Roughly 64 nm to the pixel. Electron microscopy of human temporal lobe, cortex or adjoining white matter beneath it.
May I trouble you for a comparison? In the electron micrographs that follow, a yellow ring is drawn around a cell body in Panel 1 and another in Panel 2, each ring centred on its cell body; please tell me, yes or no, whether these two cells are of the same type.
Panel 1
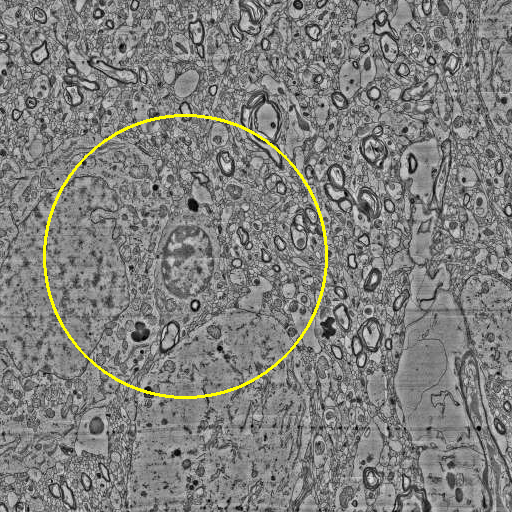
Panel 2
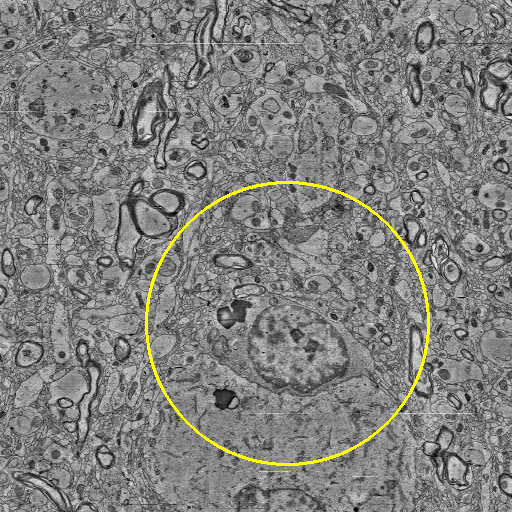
yes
